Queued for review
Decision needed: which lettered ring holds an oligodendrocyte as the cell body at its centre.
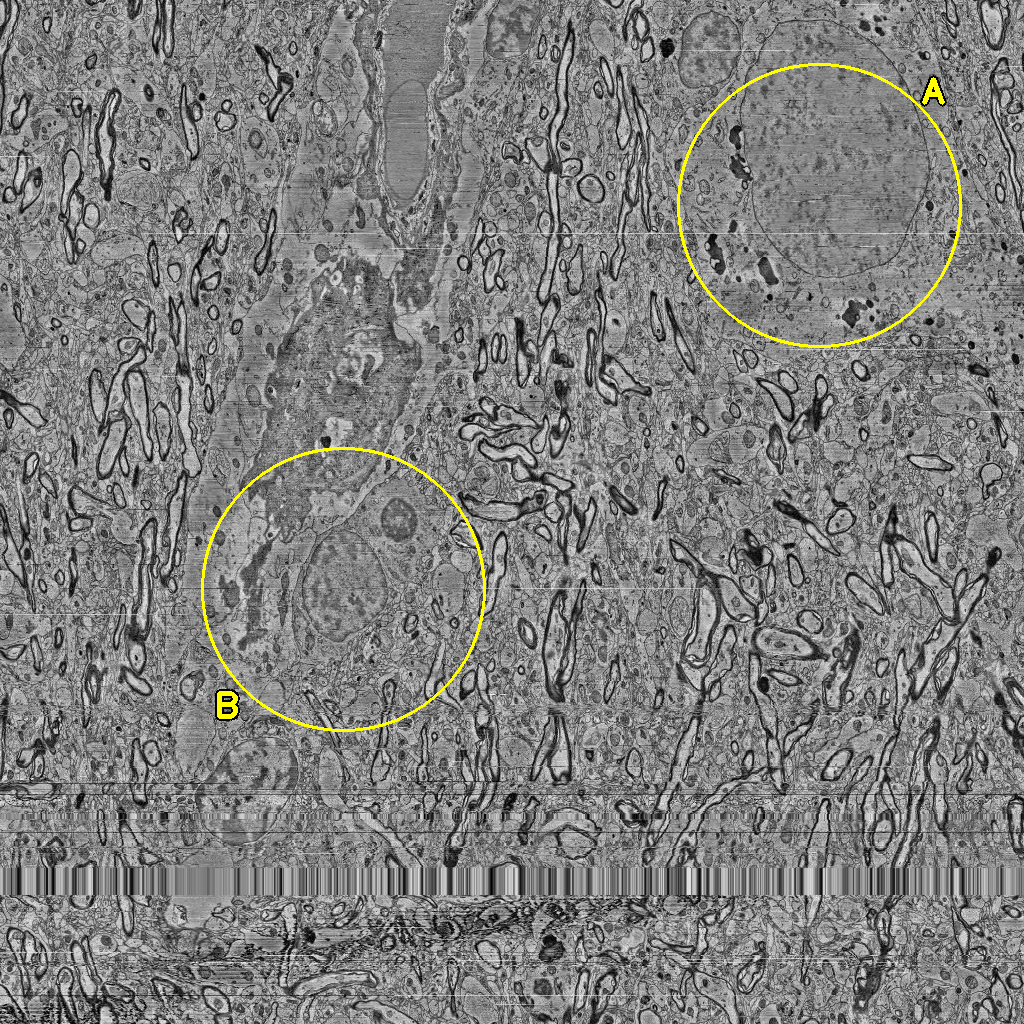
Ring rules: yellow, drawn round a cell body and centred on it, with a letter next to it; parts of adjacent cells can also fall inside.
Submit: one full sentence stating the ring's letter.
The cell asked for is the one at the centre of ring B in the picture.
